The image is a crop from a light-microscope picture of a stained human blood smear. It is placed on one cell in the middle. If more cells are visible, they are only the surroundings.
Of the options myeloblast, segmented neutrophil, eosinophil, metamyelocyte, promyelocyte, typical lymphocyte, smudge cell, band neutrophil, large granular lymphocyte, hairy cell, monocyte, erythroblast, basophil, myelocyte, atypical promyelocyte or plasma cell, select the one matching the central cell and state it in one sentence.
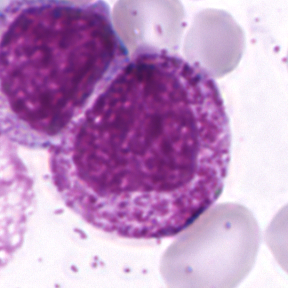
Standing at the centre of this crop is a myelocyte.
